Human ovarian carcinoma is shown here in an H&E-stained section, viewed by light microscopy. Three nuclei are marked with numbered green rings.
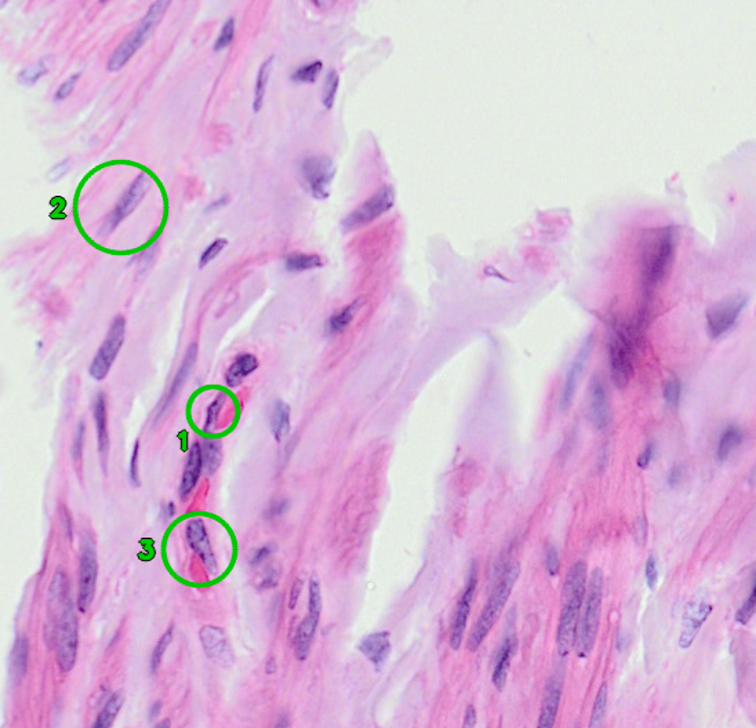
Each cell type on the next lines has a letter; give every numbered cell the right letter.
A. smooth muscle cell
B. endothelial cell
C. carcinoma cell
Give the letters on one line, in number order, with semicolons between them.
B; A; B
